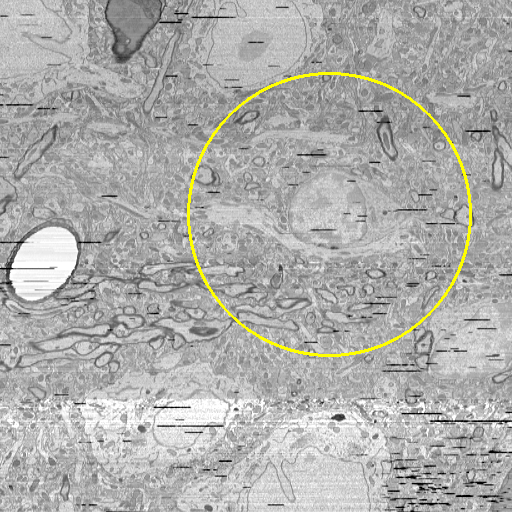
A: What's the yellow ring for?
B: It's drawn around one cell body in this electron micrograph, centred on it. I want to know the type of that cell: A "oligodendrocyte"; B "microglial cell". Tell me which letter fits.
A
